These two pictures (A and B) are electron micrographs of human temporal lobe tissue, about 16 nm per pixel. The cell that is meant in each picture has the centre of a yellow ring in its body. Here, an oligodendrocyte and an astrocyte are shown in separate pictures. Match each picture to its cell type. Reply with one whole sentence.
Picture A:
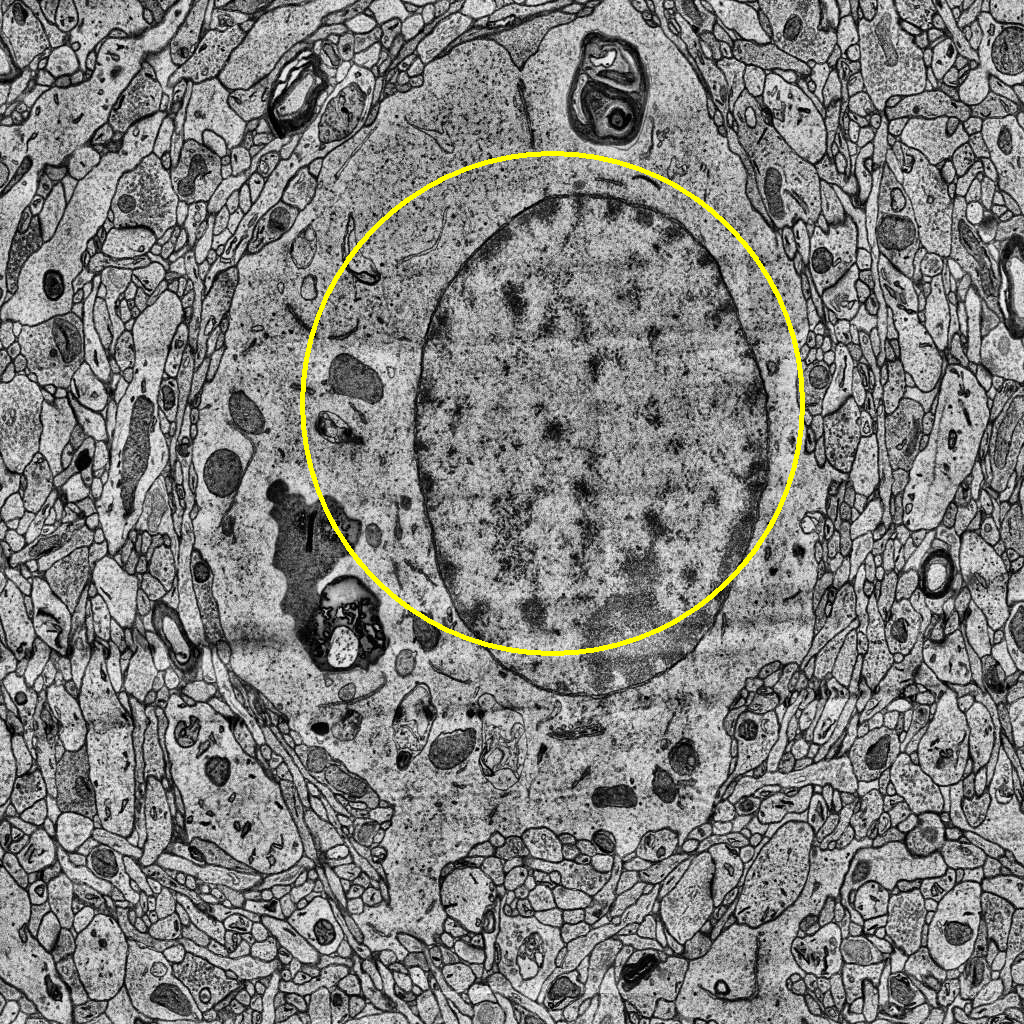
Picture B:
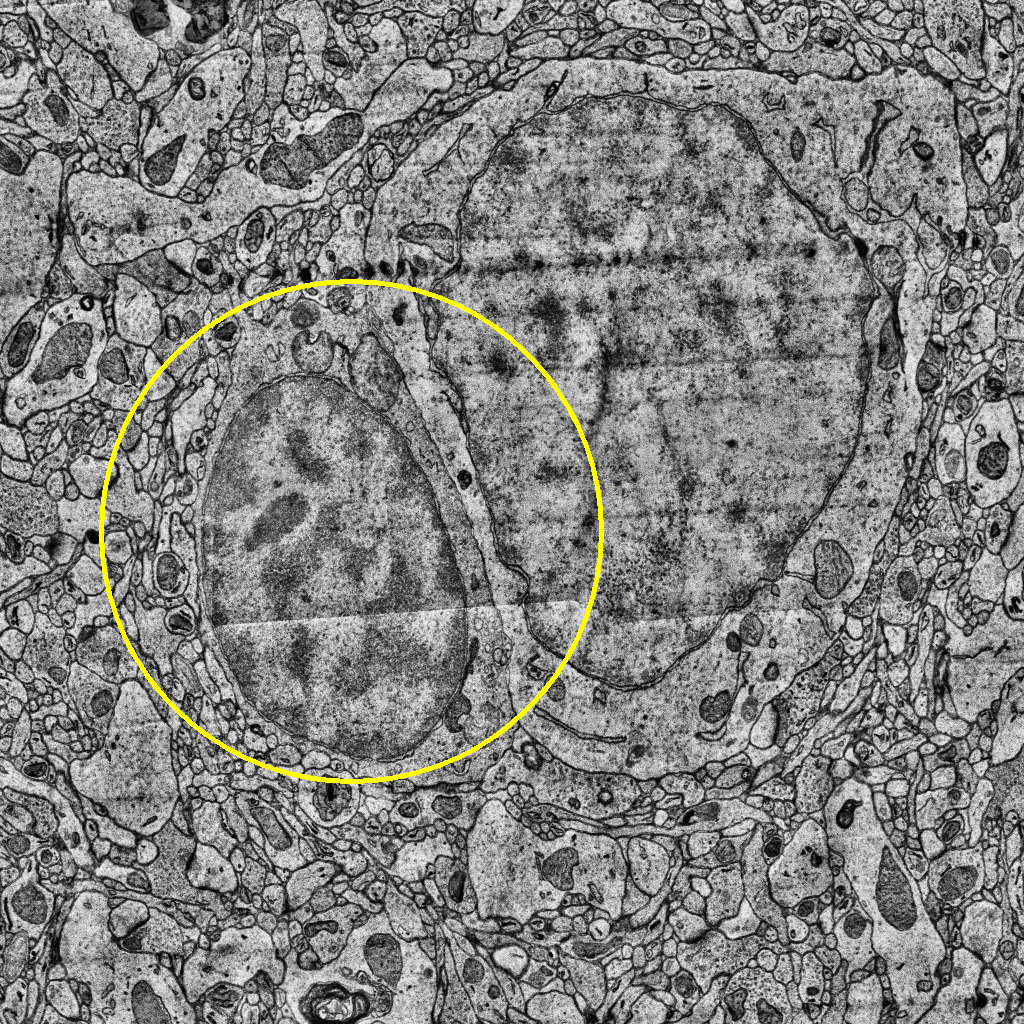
Picture B shows an oligodendrocyte, while picture A shows an astrocyte.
